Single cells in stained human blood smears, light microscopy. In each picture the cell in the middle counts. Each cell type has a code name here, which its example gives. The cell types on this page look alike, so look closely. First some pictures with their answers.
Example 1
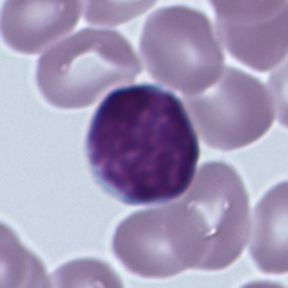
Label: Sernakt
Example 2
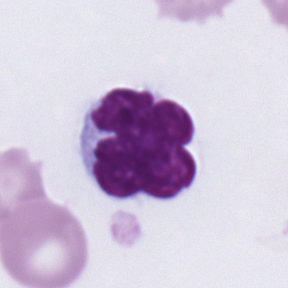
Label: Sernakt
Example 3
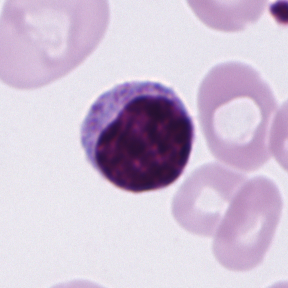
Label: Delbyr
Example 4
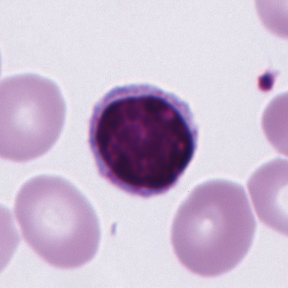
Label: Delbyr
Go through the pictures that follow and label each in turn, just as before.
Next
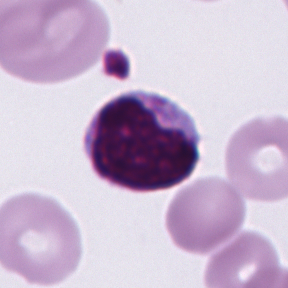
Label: Sernakt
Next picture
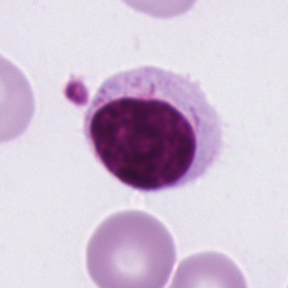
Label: Delbyr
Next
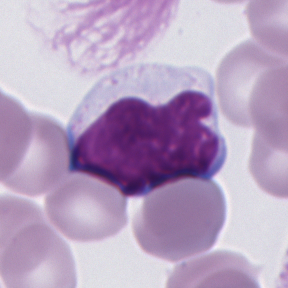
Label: Delbyr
